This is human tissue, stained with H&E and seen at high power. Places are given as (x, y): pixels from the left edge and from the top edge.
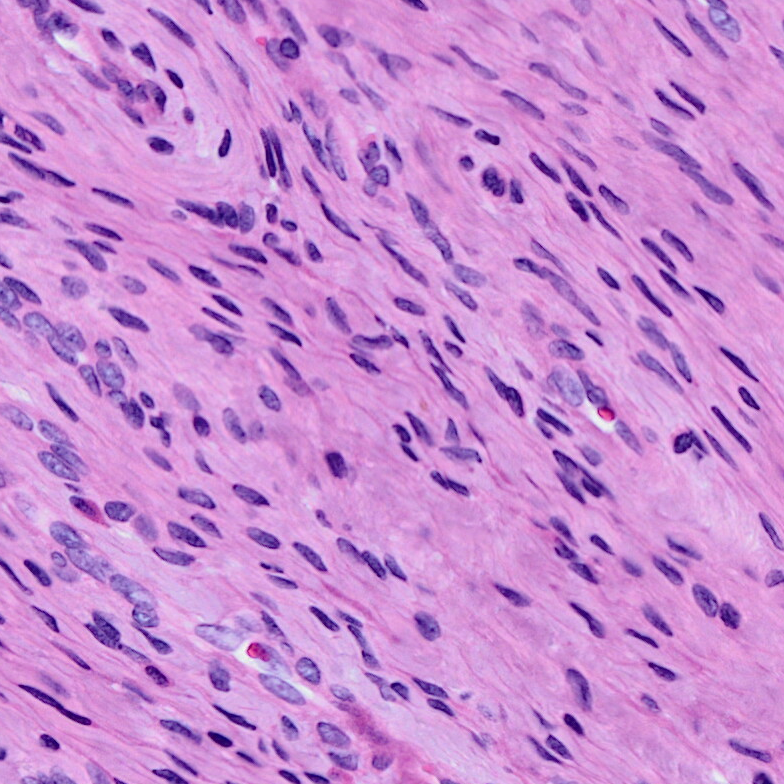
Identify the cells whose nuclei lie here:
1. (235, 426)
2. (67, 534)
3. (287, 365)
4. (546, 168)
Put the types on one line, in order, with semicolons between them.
fibroblast; endothelial cell; fibroblast; fibroblast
